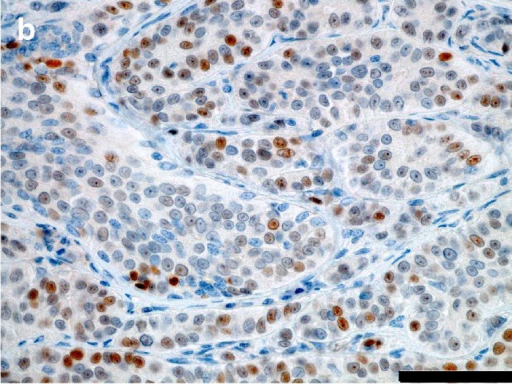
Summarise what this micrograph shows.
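Islands and cords of carcinoma cells lie in a loose pale stroma containing spindle cells with slender dark blue nuclei. The tumour cells have round to oval nuclei with fine chromatin and one prominent nucleolus, and a modest rim of pale cytoplasm. A subset of the tumour nuclei is stained brown, from faint tan to dark brown, while others remain blue; the brown colour stays inside the nuclei and the cytoplasm is unstained. Stained nuclei are scattered through the nests rather than clustered in one place.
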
